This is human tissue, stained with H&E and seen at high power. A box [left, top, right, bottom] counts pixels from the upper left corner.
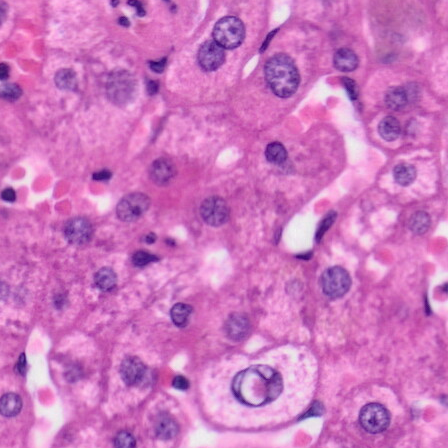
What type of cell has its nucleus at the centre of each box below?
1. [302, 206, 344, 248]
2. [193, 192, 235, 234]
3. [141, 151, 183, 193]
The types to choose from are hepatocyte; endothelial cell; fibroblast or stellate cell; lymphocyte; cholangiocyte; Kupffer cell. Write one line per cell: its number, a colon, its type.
1: Kupffer cell
2: hepatocyte
3: hepatocyte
